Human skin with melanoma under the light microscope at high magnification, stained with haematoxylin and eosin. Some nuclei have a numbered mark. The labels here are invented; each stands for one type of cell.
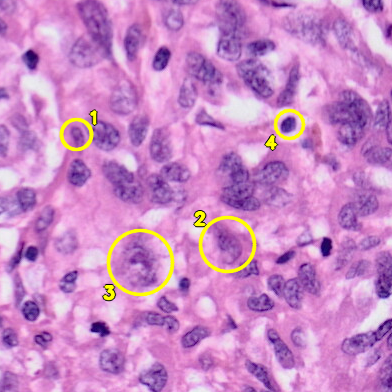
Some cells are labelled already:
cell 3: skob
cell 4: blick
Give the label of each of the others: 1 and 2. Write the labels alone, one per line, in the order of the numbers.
skob
skob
